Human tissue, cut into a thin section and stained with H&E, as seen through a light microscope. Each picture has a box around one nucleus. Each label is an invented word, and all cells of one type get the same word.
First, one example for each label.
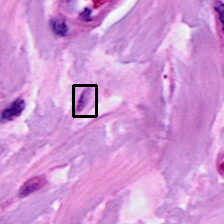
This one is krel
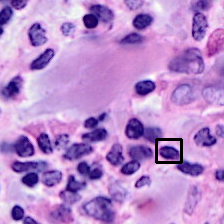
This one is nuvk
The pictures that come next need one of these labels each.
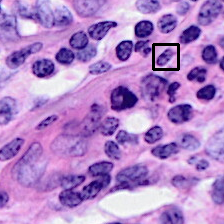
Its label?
nuvk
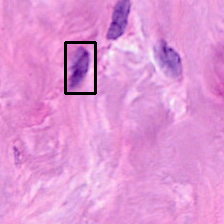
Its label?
krel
